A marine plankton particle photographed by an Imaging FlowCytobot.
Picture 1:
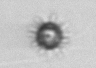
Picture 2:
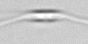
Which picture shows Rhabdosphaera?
Picture 1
